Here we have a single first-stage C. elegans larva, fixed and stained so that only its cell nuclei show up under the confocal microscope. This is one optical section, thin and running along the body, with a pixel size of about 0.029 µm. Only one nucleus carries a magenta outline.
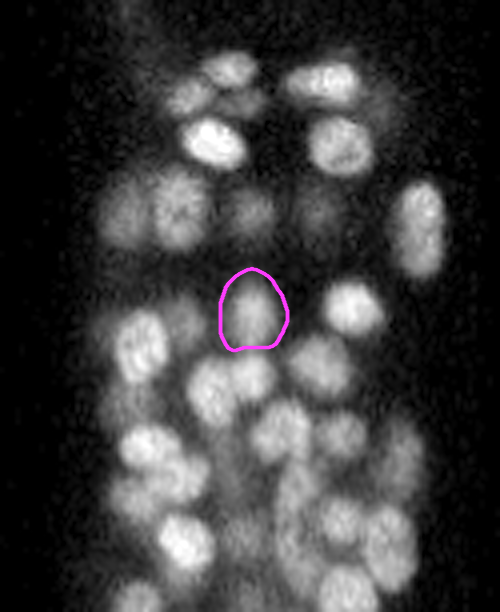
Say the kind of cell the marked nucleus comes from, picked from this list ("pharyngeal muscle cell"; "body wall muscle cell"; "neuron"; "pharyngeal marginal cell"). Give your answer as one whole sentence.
The marked nucleus belongs to a pharyngeal muscle cell.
